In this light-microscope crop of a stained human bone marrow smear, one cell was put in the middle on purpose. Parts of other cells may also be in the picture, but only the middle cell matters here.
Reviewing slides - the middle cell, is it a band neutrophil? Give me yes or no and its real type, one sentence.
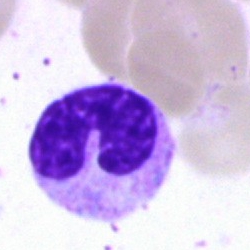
Yes, within this crop, the central cell is a band neutrophil.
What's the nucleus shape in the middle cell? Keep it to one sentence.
The nucleus amounts to one compact mass with a round, oval or kidney-shaped outline.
